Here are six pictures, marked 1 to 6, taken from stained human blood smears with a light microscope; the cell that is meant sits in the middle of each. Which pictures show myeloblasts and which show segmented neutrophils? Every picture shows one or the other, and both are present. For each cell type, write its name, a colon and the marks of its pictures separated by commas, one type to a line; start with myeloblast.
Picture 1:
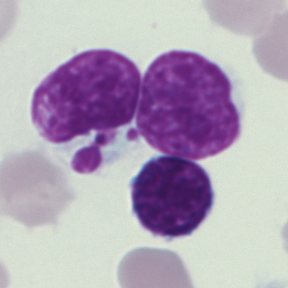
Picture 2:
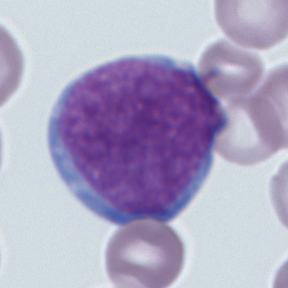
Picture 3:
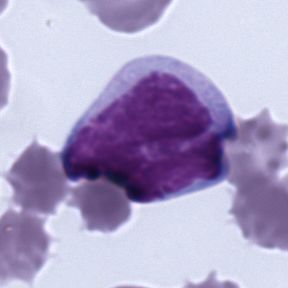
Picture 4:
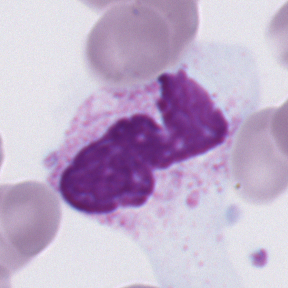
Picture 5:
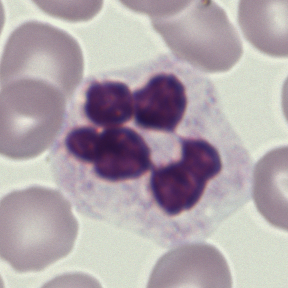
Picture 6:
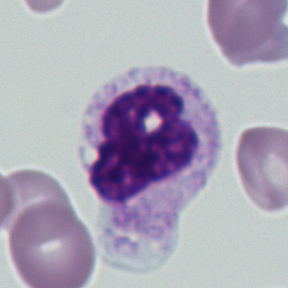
myeloblast: 1, 2, 3
segmented neutrophil: 4, 5, 6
